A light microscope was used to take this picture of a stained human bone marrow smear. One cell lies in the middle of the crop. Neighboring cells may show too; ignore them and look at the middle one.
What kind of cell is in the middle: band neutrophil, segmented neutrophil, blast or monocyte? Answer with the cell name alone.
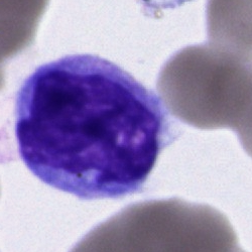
monocyte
